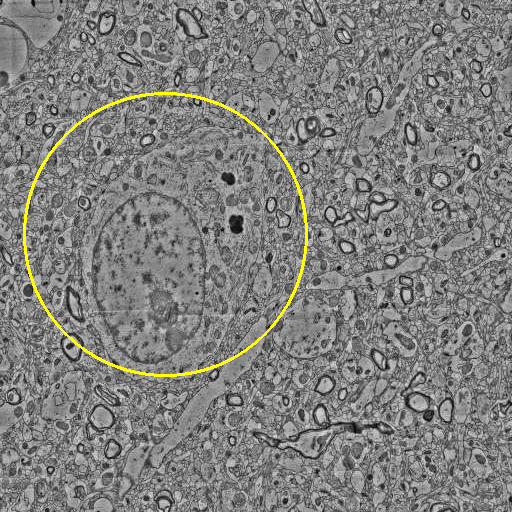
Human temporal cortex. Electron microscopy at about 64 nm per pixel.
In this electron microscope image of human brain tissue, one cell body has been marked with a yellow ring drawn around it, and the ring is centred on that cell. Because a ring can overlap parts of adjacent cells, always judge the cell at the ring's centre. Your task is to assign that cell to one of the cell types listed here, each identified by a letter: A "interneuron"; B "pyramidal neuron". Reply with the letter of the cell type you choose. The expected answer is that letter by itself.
A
